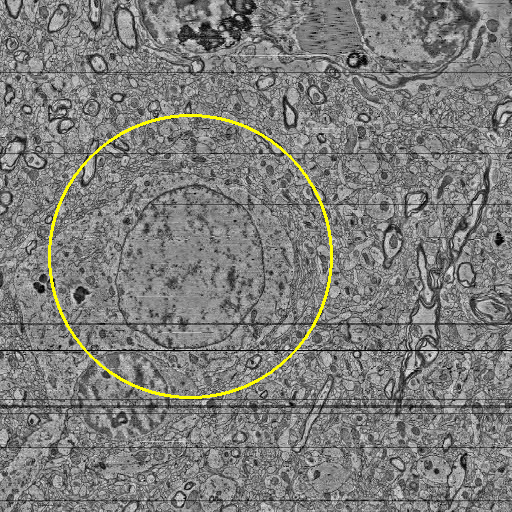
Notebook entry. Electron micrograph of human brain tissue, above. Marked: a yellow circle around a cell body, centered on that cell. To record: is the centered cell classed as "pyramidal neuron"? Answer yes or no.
Yes, the centered cell is classed that way.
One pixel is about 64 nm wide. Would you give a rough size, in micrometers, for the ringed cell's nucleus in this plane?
About 10 micrometres across in this plane, for the nucleus.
